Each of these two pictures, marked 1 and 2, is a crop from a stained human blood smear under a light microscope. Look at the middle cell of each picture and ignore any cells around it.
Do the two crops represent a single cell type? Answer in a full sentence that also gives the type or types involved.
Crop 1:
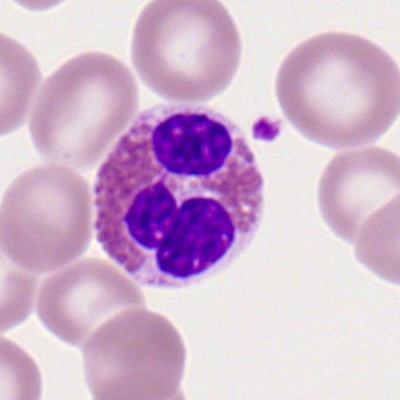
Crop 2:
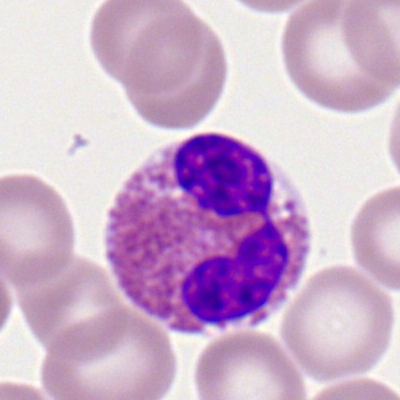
Yes, the first and the second crop both show eosinophils.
